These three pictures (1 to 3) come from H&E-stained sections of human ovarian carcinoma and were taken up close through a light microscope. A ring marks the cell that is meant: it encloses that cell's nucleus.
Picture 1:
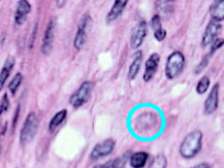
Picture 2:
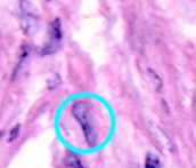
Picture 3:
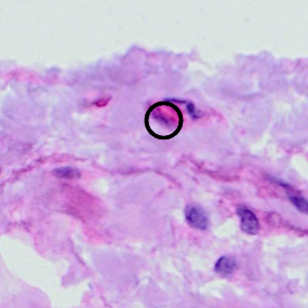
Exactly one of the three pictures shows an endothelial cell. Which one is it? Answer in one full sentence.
The cell in picture 3 is the endothelial cell.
